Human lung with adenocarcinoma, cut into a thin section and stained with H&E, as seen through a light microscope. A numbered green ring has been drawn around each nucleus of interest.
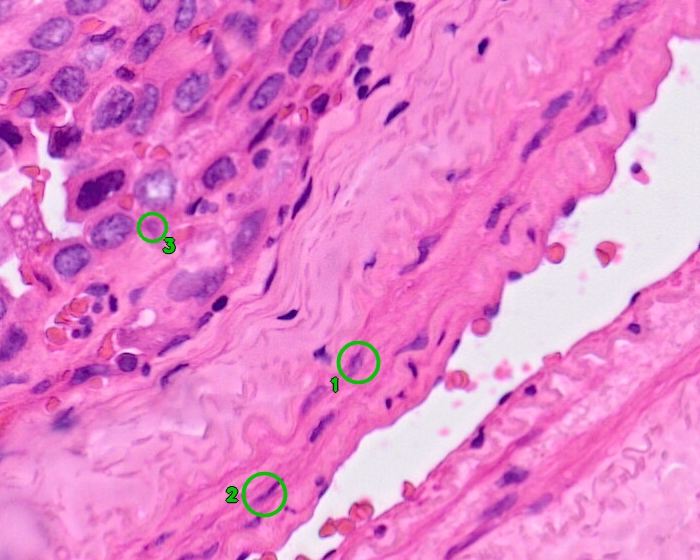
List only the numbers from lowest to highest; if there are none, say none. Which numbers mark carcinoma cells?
3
